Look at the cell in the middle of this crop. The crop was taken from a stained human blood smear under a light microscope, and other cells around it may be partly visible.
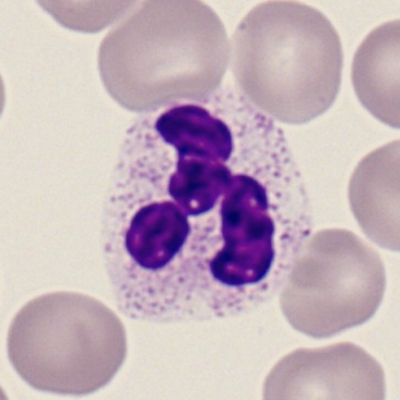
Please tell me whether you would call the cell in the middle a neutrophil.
yes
